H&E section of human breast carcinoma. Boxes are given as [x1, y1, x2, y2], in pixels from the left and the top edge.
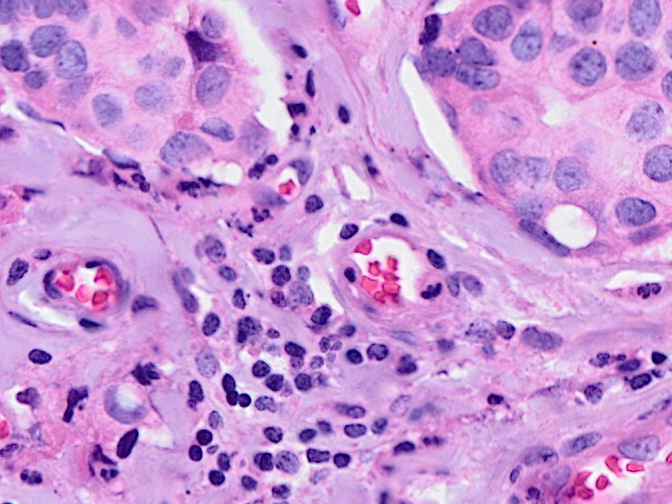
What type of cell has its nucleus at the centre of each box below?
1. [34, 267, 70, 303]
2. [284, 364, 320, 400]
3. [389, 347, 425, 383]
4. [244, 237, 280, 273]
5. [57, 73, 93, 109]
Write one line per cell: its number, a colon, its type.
1: endothelial cell
2: lymphocyte
3: lymphocyte
4: lymphocyte
5: carcinoma cell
